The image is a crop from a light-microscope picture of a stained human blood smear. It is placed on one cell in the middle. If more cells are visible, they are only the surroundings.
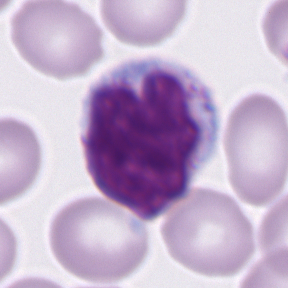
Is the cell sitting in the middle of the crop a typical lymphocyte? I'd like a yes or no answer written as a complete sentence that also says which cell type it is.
No, a typical lymphocyte is not what the central cell is; it is a large granular lymphocyte.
